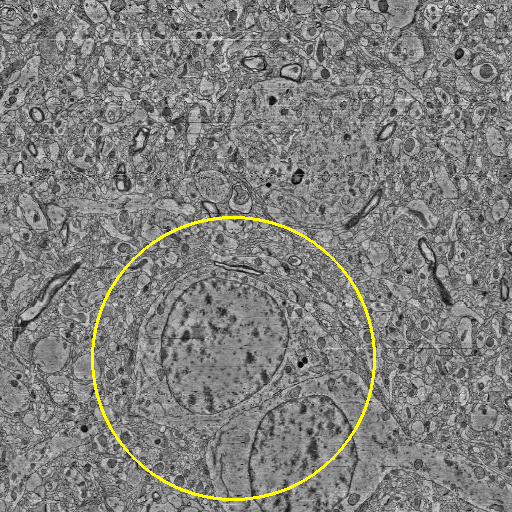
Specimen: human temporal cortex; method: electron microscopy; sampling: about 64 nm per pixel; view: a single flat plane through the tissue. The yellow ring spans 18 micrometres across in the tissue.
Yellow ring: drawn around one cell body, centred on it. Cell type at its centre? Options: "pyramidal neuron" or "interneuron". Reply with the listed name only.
pyramidal neuron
